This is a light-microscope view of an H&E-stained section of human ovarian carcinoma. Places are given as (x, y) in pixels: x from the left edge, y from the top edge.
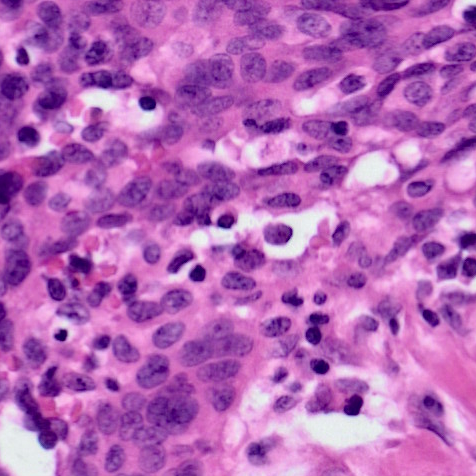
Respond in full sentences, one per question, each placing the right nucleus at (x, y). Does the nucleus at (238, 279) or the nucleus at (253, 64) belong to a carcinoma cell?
Located at (253, 64), this nucleus is the one belonging to a carcinoma cell.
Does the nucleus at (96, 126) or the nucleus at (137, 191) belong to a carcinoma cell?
The correct choice is the nucleus at (137, 191), which belongs to a carcinoma cell.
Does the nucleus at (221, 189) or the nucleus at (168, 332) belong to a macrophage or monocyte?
The nucleus found at (168, 332) belongs to a macrophage or monocyte.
